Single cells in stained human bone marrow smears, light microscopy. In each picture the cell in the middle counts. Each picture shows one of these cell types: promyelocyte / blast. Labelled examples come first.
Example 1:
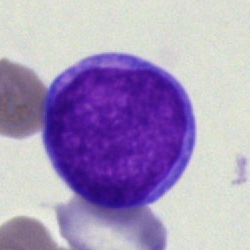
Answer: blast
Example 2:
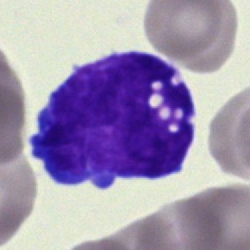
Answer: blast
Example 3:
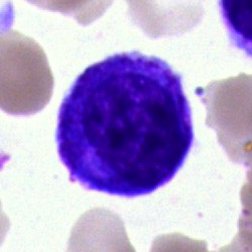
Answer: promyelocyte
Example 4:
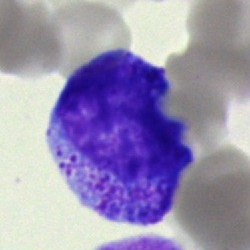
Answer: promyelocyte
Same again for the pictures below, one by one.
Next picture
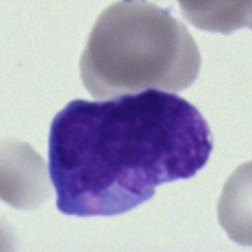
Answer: blast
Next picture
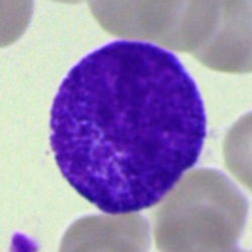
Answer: promyelocyte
